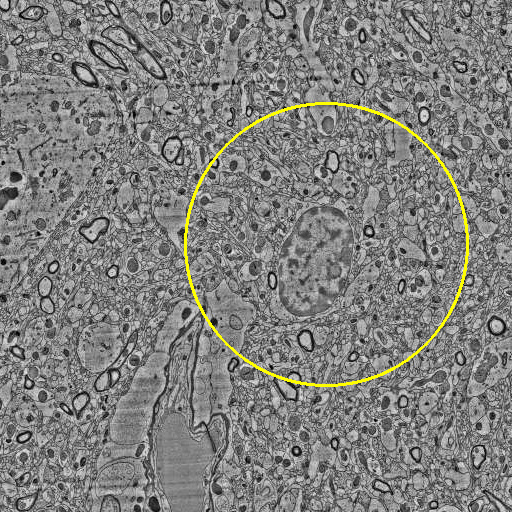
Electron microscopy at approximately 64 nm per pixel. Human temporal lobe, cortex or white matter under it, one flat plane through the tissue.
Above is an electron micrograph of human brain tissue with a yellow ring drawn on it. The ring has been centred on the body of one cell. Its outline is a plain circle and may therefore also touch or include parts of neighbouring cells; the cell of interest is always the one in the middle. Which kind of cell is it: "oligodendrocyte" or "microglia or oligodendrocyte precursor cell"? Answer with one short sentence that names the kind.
The ring's central cell body is that of a microglial cell or oligodendrocyte precursor cell.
